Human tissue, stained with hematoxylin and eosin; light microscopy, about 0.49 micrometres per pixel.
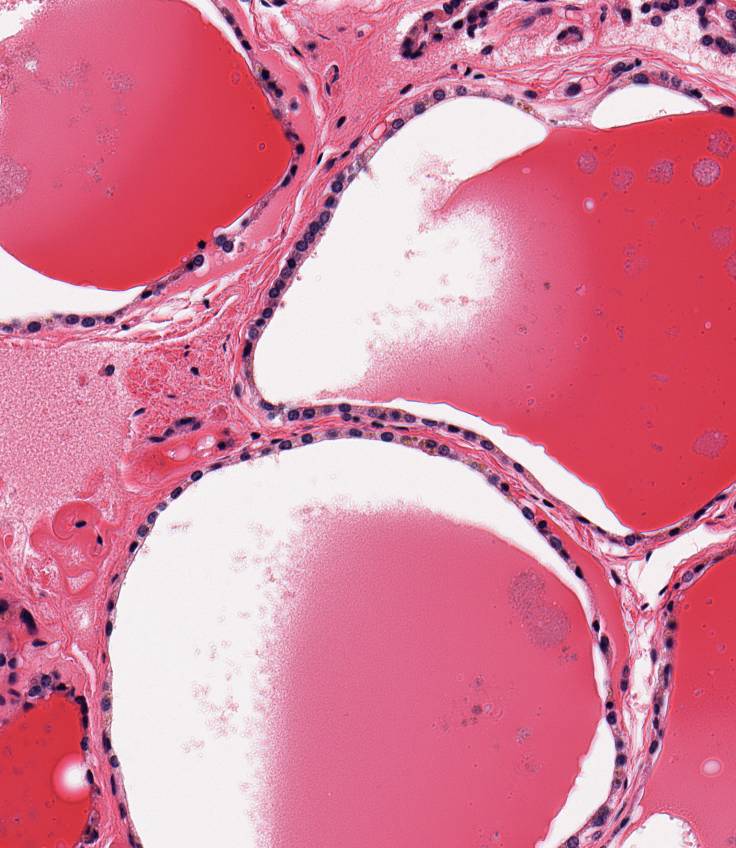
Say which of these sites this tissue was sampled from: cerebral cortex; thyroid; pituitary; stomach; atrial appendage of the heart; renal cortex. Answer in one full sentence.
This material was sampled from the thyroid.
